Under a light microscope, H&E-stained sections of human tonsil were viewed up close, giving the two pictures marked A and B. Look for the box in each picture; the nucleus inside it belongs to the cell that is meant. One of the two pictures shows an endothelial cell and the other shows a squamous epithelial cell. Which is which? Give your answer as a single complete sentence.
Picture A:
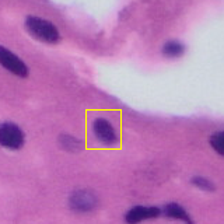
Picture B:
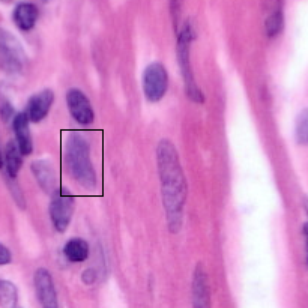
Picture A shows a squamous epithelial cell and picture B shows an endothelial cell.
